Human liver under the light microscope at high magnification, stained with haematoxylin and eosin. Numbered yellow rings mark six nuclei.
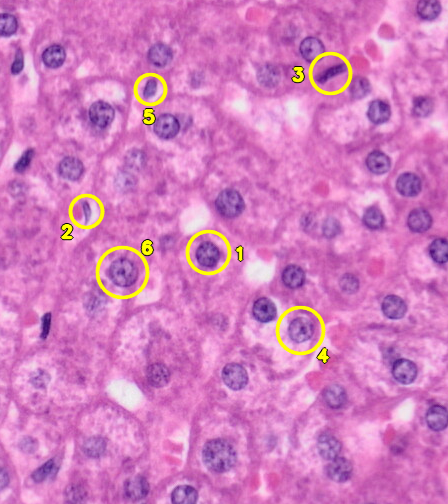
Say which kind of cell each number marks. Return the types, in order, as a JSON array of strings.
["hepatocyte", "endothelial cell", "fibroblast or stellate cell", "hepatocyte", "lymphocyte", "hepatocyte"]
